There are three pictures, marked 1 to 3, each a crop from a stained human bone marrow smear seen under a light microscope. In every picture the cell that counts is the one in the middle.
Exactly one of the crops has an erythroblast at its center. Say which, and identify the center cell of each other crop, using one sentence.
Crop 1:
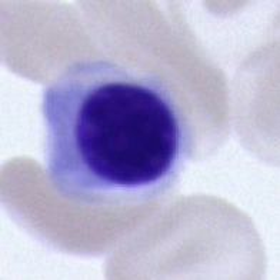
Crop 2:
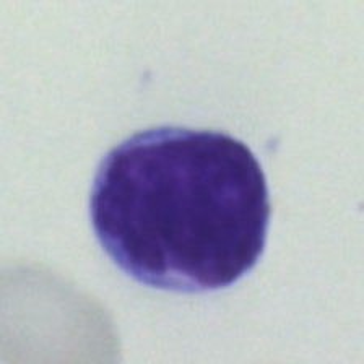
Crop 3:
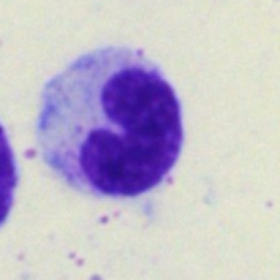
Crop 1 is to be called an erythroblast, while crop 2 is a lymphocyte and crop 3 is a band neutrophil.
